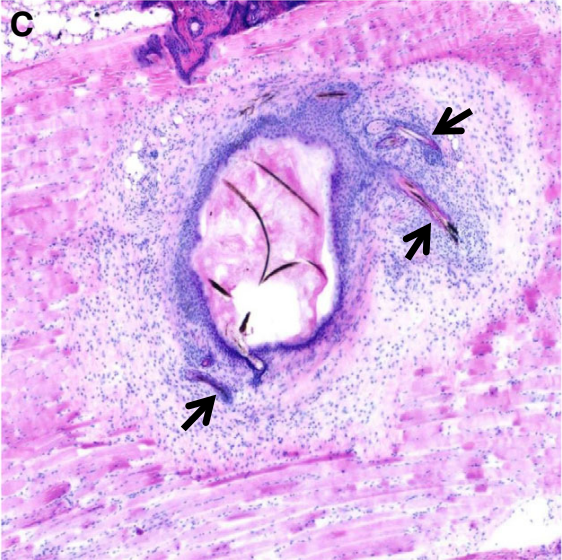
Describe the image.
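A section through an epithelial cyst with associated hair follicles, stained with hematoxylin and eosin. Around the cyst, several smaller hair follicles are cut obliquely, each containing a dark pigmented shaft surrounded by purple epithelial cells. A broad zone of loosely arranged cells with small nuclei surrounds the cyst and follicles, and beyond it lie bands of pink, striated fibers.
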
